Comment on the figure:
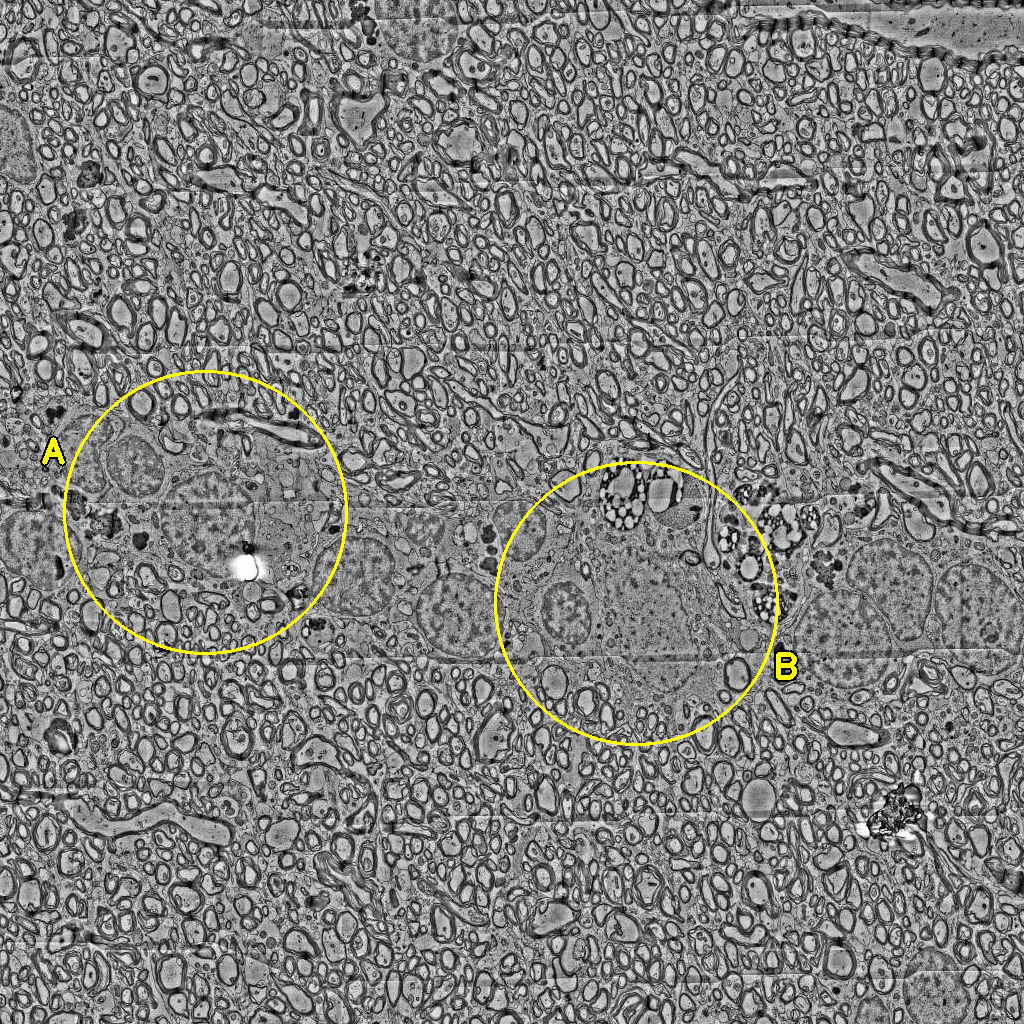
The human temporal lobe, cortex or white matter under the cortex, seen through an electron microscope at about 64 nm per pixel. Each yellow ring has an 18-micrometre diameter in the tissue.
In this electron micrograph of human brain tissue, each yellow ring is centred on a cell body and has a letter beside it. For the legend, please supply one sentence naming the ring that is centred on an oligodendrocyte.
Ring A is centred on that cell.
